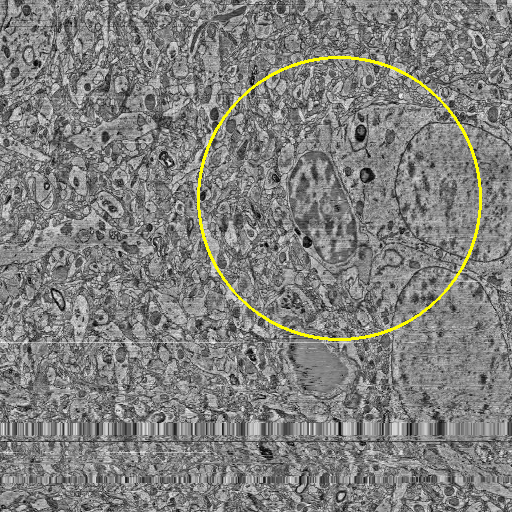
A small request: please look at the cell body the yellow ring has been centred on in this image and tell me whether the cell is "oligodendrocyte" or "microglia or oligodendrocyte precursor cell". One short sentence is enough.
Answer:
The cell marked by the ring is a microglial cell or oligodendrocyte precursor cell.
